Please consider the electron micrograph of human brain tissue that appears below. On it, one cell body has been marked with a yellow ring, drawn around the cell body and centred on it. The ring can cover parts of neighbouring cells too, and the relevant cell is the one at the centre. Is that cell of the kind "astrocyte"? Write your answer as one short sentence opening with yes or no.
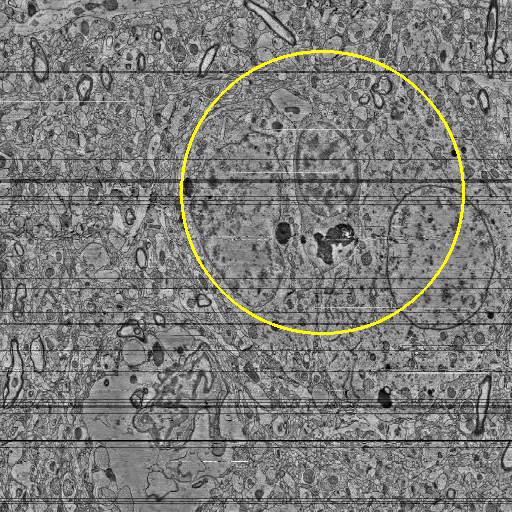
No, it is of another kind.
